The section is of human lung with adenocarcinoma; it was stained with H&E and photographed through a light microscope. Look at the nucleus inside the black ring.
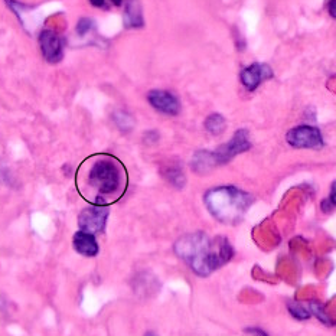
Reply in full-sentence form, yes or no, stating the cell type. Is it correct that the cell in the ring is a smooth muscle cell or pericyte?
No, the cell in the ring is not to be called a smooth muscle cell or pericyte; it is a plasma cell.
